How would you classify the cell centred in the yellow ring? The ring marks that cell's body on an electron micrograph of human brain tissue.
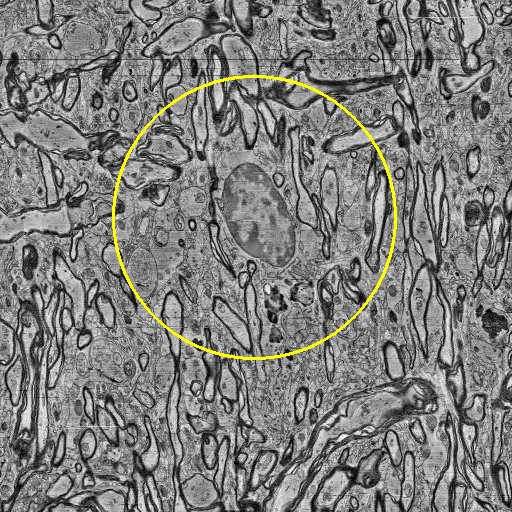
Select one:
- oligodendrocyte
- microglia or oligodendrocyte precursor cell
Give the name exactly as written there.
microglia or oligodendrocyte precursor cell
